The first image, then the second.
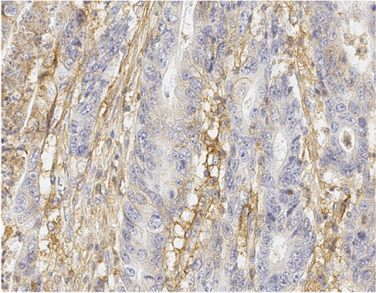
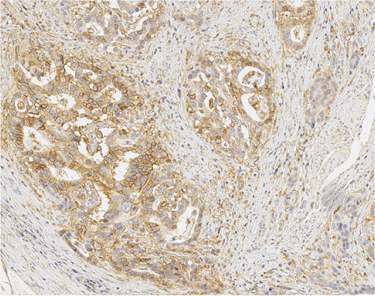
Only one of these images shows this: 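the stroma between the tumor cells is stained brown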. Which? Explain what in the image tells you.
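First image: brown strands run between the columns of epithelial cells. Second image: the spindle-cell stroma around the tumor nests is pale while the nests are brown. That points to this answer: the first image.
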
